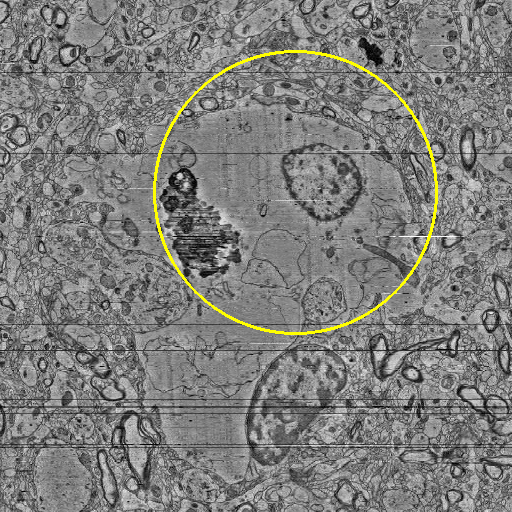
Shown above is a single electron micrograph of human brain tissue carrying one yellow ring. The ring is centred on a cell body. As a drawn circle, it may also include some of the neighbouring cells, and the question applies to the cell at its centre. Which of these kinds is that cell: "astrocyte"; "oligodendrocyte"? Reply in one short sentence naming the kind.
The cell marked by the ring is an astrocyte.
